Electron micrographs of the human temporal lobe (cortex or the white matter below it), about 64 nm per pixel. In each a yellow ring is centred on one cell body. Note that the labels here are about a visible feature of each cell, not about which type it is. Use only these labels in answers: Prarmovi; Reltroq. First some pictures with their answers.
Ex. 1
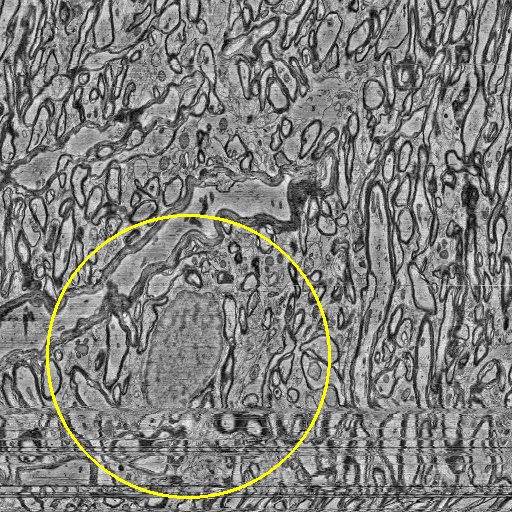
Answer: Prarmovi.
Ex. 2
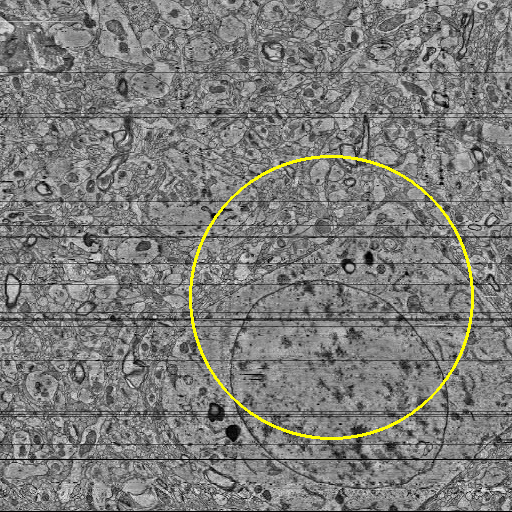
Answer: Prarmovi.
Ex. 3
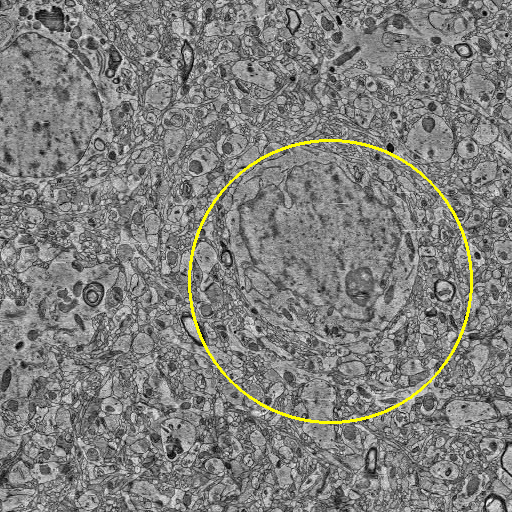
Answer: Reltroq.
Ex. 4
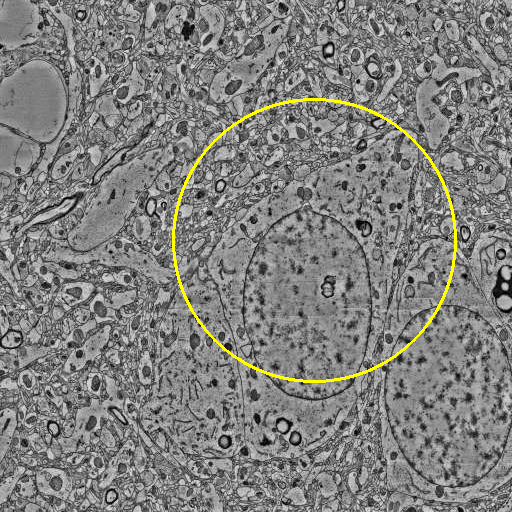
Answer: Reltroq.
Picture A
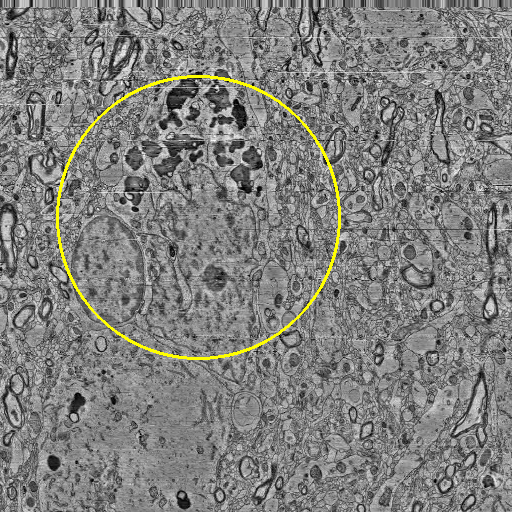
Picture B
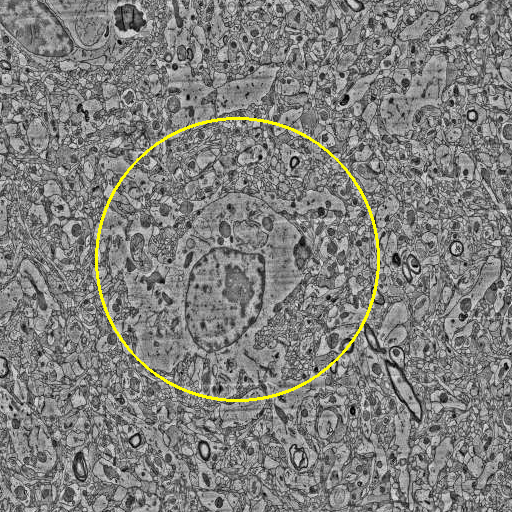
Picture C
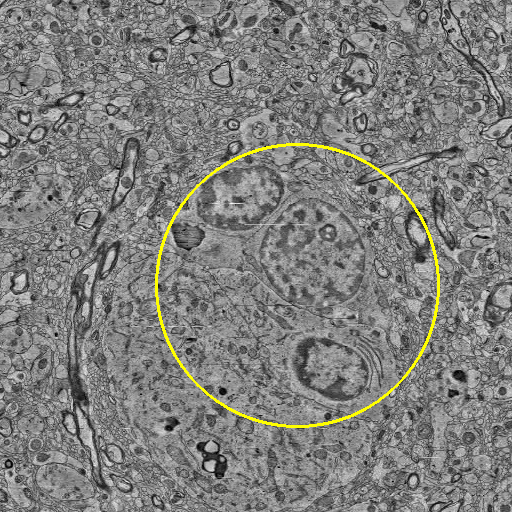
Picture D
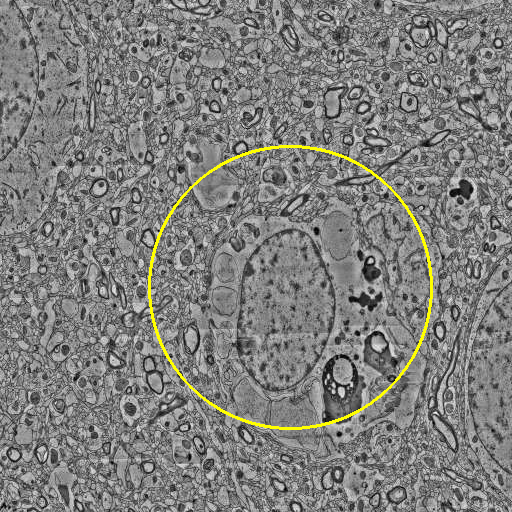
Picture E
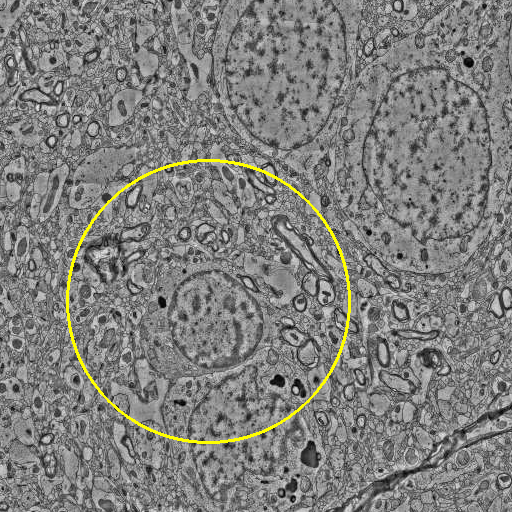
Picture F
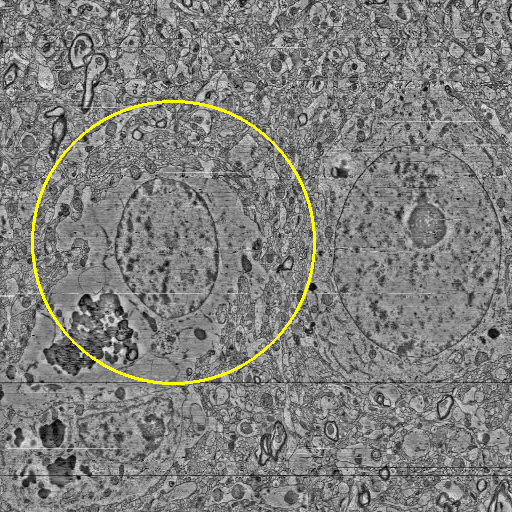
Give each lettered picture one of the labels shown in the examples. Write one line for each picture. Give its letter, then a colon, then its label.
A: Reltroq.
B: Reltroq.
C: Reltroq.
D: Prarmovi.
E: Prarmovi.
F: Prarmovi.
